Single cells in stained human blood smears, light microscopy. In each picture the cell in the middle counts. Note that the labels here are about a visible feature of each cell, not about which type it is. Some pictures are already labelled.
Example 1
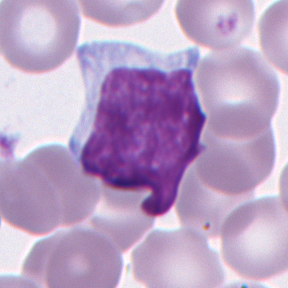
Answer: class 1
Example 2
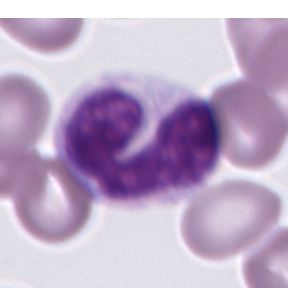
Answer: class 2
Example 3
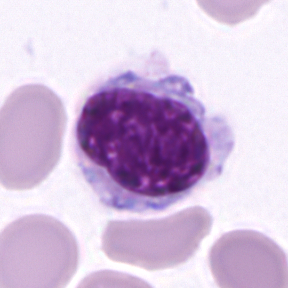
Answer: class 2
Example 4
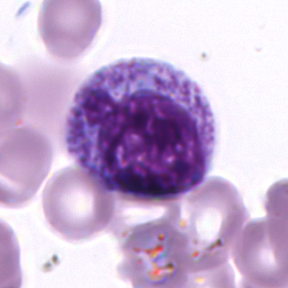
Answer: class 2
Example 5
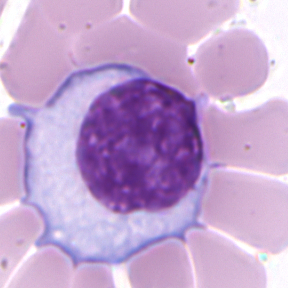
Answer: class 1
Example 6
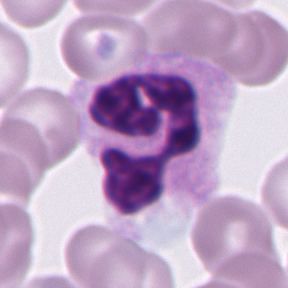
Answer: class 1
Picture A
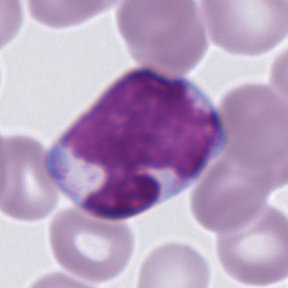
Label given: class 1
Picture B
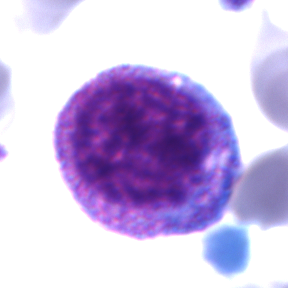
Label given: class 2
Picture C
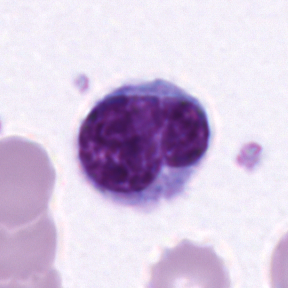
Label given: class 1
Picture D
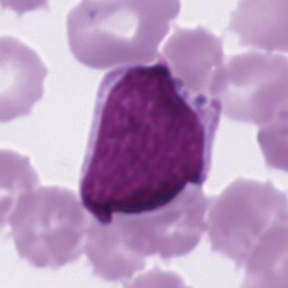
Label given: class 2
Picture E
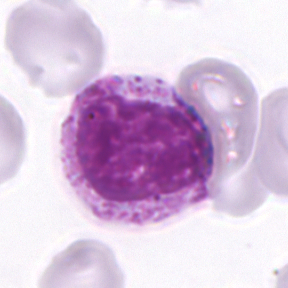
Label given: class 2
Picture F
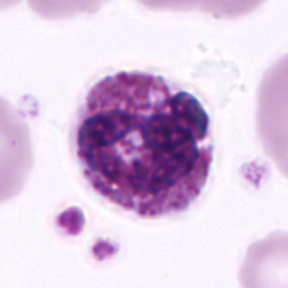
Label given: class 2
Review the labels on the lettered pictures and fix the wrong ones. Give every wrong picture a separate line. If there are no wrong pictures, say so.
A should be class 2, not class 1
C should be class 2, not class 1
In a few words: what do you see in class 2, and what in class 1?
Seen in class 2: scant cytoplasm; seen in class 1: abundant cytoplasm.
